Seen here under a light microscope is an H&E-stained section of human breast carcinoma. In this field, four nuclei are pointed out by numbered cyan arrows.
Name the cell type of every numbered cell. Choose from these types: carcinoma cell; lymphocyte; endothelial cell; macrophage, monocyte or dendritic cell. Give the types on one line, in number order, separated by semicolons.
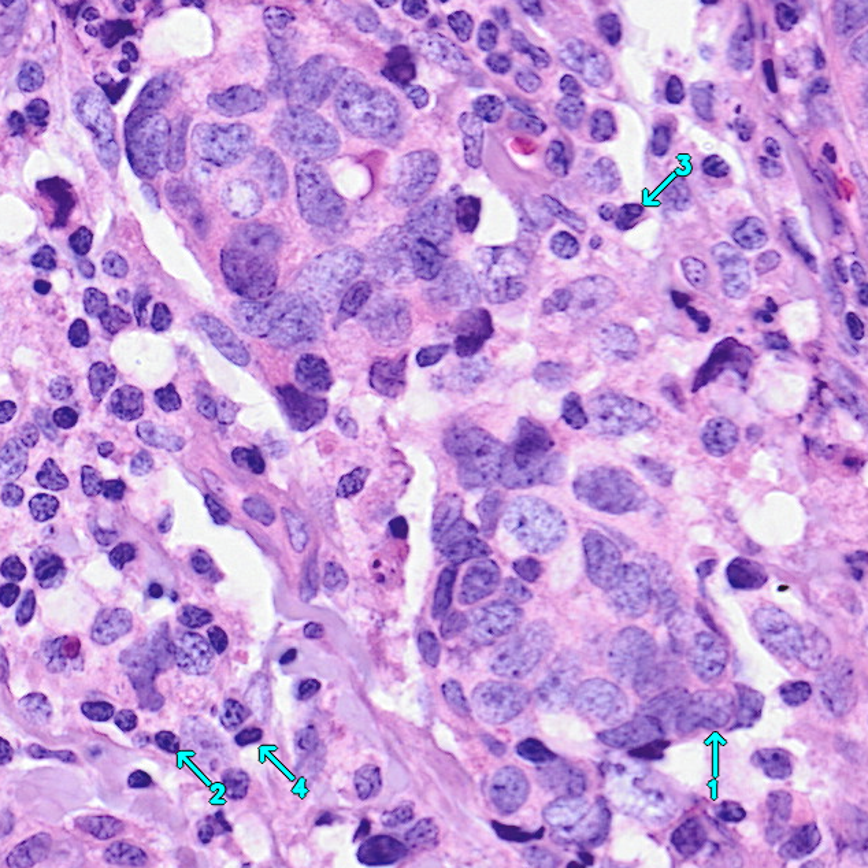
carcinoma cell; lymphocyte; lymphocyte; lymphocyte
